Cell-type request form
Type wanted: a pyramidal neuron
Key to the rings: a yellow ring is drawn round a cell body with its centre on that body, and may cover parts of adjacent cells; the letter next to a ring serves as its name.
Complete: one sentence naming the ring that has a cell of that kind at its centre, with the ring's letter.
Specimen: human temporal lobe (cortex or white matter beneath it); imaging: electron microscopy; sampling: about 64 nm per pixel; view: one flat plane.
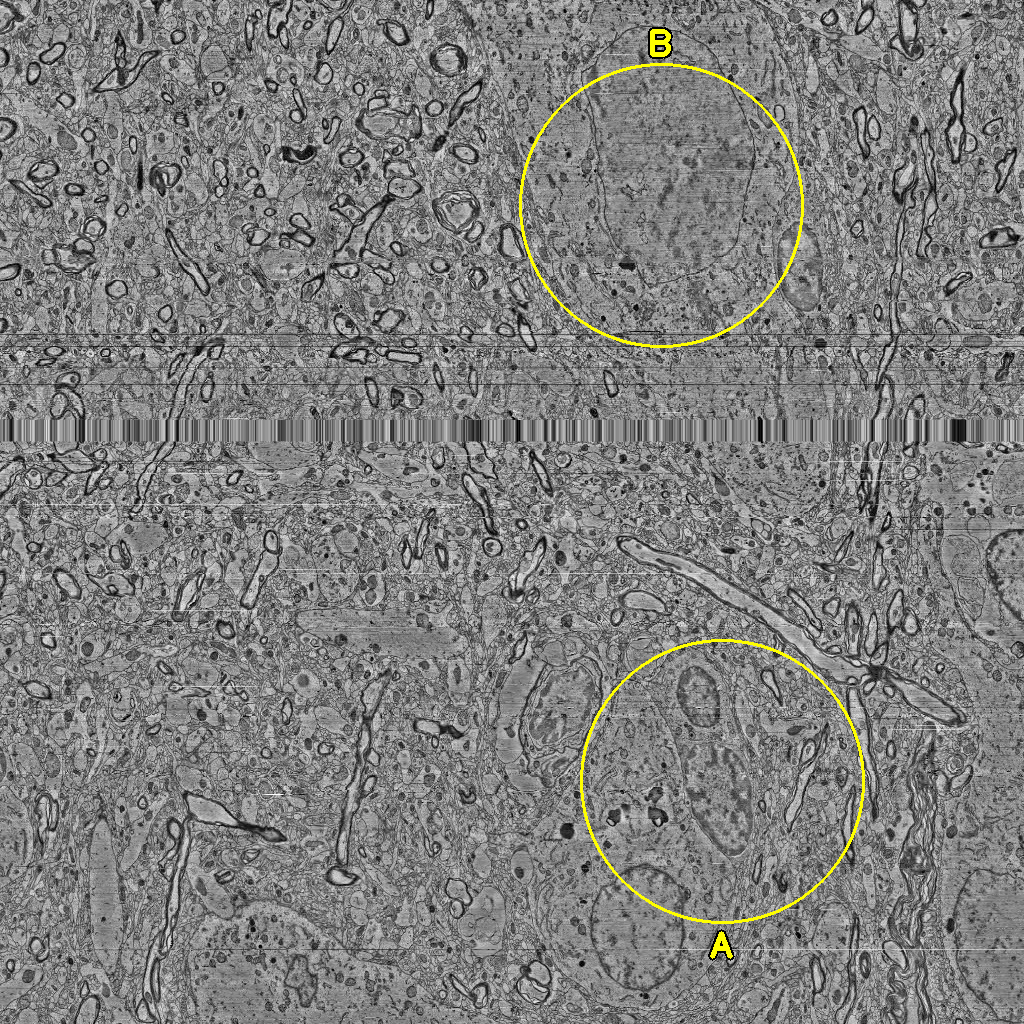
A cell of that kind sits at the centre of the ring labelled B.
